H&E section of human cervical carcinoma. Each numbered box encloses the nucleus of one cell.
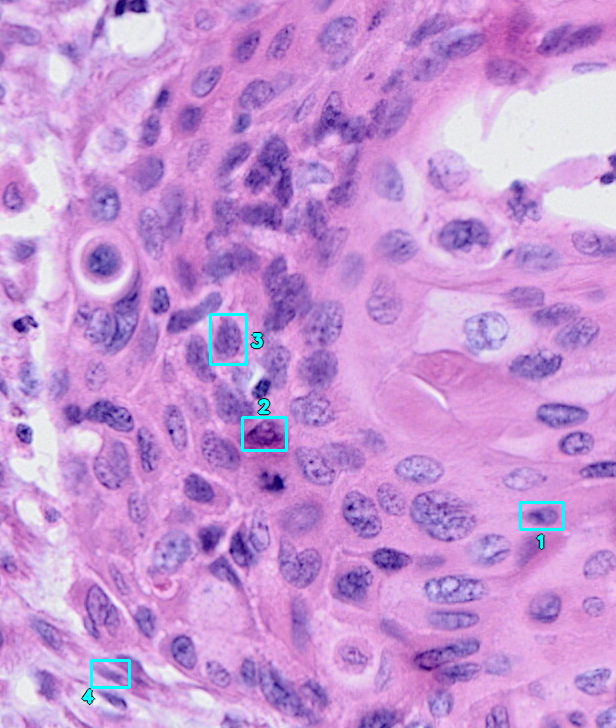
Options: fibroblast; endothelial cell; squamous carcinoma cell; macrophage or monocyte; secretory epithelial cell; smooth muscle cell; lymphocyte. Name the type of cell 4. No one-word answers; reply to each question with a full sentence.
The cell pointed out as number 4 is a fibroblast.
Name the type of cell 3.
The cell carrying label 3 is identified as a squamous carcinoma cell.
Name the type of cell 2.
The cell referred to as 2 is a squamous carcinoma cell.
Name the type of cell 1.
Looking at the numbered marks, cell 1 is a squamous carcinoma cell.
